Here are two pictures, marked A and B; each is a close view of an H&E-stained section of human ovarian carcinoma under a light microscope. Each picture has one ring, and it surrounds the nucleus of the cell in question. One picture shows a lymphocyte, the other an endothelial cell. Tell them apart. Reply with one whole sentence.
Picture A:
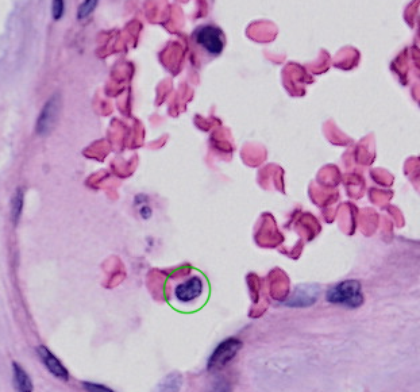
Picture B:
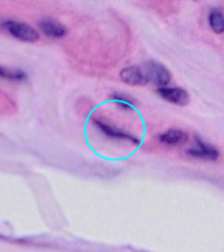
In picture A the cell is a lymphocyte; in picture B, an endothelial cell.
